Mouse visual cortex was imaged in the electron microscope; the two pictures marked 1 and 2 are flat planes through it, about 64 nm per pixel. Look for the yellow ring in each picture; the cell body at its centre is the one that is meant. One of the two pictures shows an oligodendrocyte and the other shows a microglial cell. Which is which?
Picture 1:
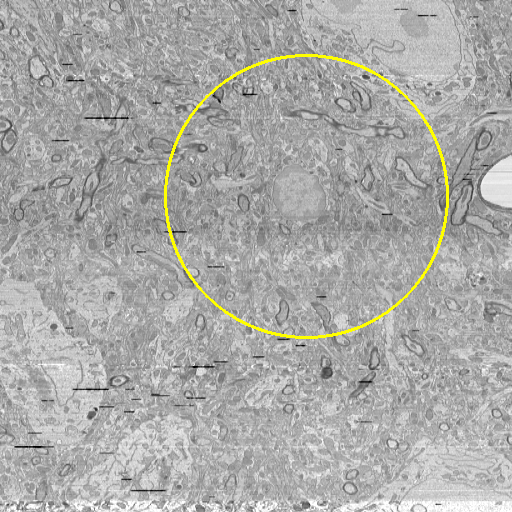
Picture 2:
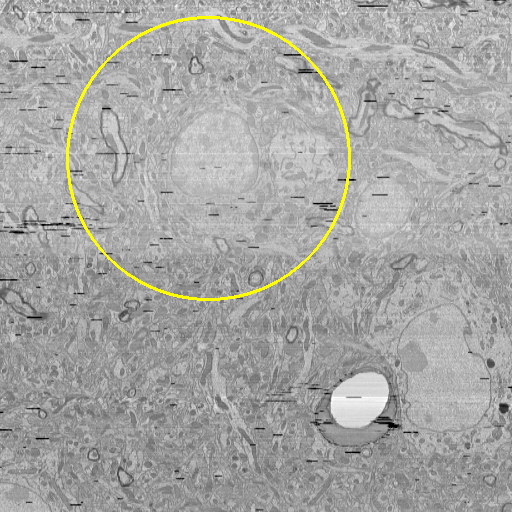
It is picture 1 that shows a microglial cell, and picture 2 that shows an oligodendrocyte.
